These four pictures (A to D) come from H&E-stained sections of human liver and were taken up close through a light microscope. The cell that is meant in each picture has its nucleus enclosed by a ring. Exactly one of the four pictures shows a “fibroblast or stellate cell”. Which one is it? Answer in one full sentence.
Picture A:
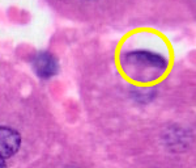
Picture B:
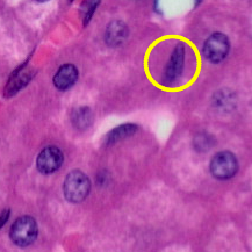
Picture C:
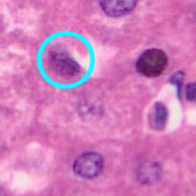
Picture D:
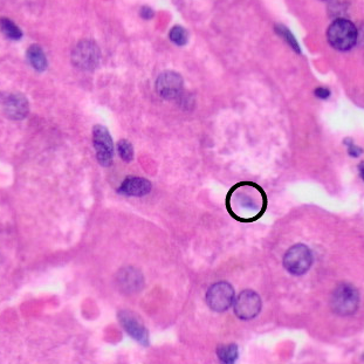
The “fibroblast or stellate cell” is the one in picture B.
